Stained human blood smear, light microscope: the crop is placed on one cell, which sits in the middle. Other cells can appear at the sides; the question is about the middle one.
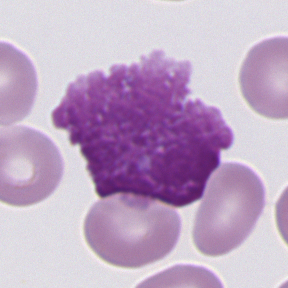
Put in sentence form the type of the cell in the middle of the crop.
The cell at the heart of this crop is a smudge cell.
